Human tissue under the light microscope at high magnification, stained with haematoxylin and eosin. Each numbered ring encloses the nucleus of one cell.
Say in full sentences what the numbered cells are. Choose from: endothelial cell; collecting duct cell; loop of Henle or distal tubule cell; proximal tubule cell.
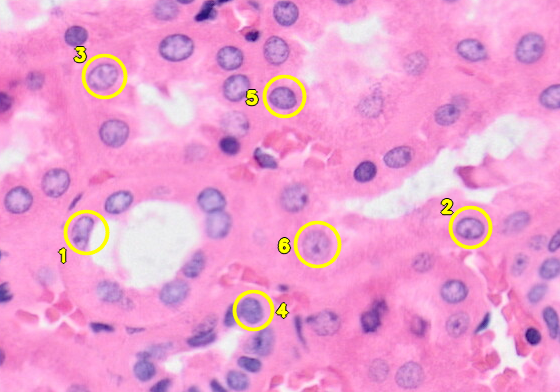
Cell 1 is a loop of Henle or distal tubule cell, cell 2 is a proximal tubule cell, cell 3 is a proximal tubule cell, cell 4 is a collecting duct cell, cell 5 is a proximal tubule cell and cell 6 is a proximal tubule cell.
